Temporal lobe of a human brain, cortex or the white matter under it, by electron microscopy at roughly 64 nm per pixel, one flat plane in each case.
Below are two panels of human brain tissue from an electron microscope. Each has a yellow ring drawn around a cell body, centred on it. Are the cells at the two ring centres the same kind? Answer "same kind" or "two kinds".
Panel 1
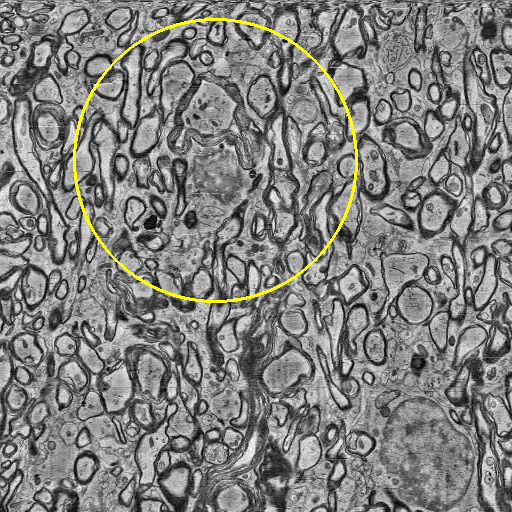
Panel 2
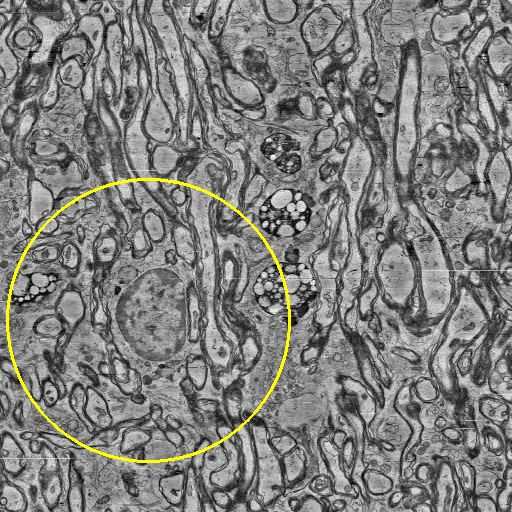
two kinds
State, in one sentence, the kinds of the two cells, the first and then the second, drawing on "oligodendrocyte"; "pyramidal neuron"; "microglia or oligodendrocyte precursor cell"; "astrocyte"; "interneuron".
The ring in the second picture is centred on a microglial cell or oligodendrocyte precursor cell, the ring in the first on an oligodendrocyte.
